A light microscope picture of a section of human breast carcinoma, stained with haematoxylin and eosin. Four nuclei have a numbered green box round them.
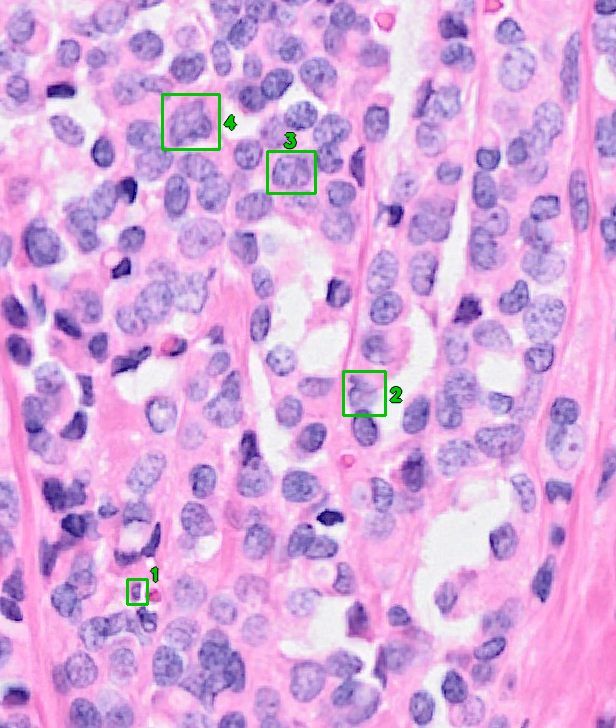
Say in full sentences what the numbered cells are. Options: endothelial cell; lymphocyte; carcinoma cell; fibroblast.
Cell 1 is an endothelial cell, cell 2 is a carcinoma cell, cell 3 is a carcinoma cell and cell 4 is a carcinoma cell.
